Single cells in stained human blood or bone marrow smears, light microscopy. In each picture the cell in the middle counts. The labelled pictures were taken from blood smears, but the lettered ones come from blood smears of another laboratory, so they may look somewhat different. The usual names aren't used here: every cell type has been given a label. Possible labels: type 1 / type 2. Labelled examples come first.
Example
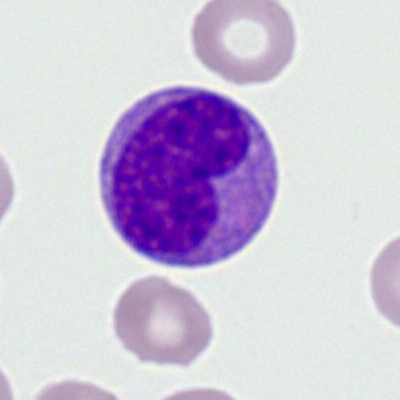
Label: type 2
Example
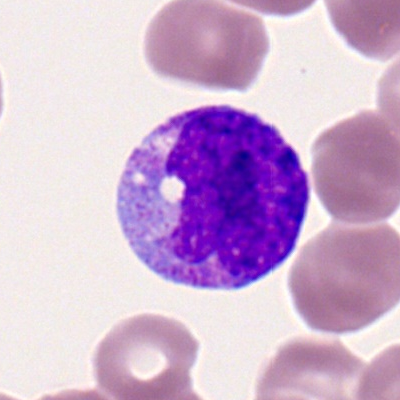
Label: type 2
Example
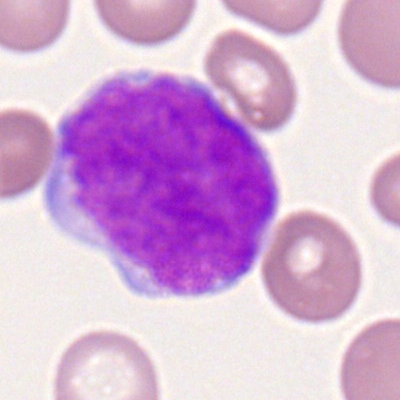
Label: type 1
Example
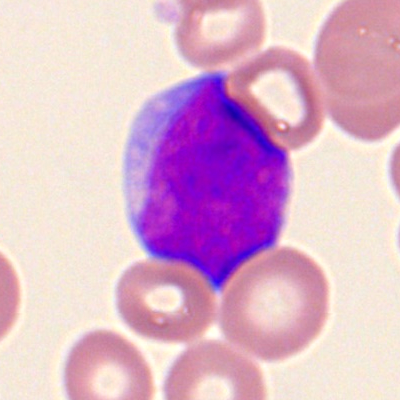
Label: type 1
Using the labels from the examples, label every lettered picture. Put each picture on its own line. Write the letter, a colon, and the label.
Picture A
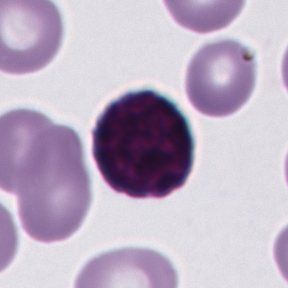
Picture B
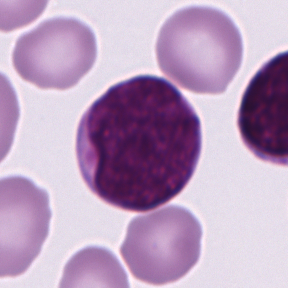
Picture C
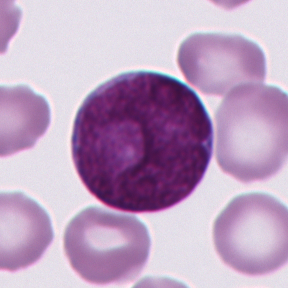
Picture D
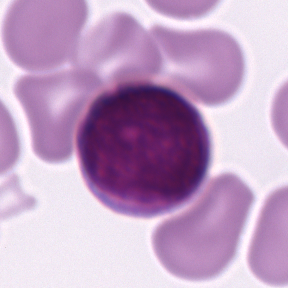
A: type 1
B: type 1
C: type 1
D: type 1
